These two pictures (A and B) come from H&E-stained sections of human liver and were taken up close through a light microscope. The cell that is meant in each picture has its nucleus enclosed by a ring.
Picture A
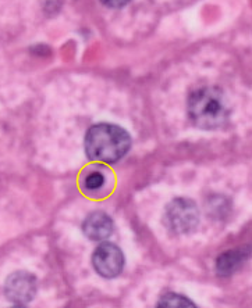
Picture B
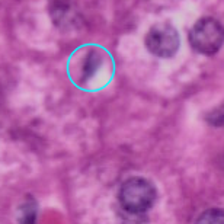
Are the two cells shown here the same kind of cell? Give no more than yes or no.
no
